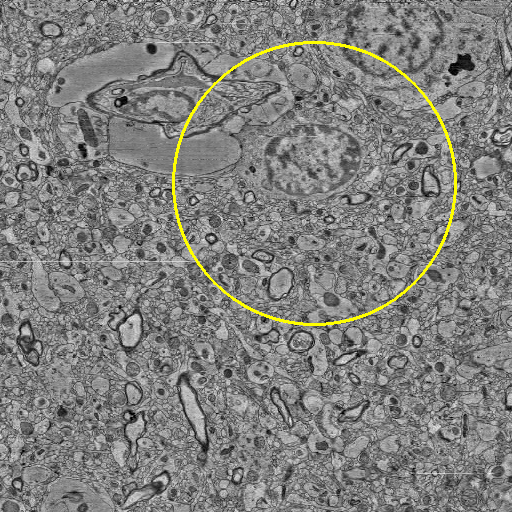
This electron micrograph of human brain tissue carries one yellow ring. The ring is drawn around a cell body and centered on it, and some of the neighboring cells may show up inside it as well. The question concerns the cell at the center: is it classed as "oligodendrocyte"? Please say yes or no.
Yes, it is classed that way.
